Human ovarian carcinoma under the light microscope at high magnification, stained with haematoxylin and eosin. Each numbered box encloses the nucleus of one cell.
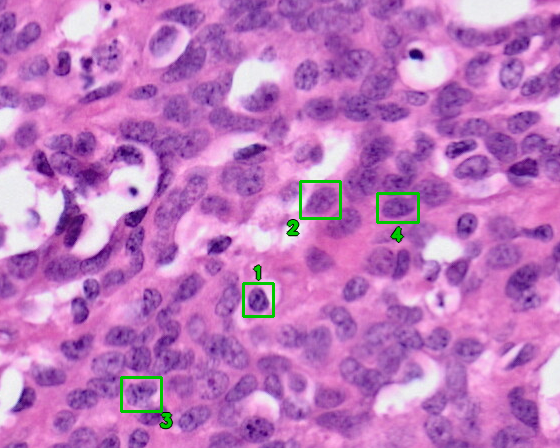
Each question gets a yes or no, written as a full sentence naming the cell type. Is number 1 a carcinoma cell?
No, what number 1 shows is a macrophage or monocyte, not a carcinoma cell.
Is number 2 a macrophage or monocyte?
No, cell 2 is identified not as a macrophage or monocyte but as a carcinoma cell.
